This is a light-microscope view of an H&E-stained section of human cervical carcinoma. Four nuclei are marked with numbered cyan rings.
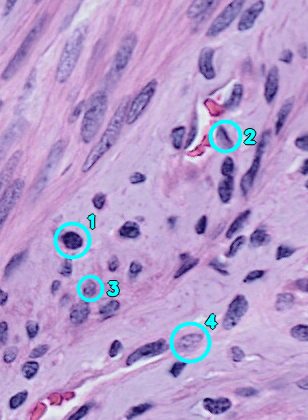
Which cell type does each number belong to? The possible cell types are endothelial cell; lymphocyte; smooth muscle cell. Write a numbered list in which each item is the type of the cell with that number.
1. lymphocyte
2. endothelial cell
3. smooth muscle cell
4. endothelial cell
